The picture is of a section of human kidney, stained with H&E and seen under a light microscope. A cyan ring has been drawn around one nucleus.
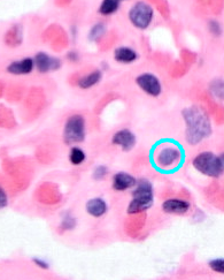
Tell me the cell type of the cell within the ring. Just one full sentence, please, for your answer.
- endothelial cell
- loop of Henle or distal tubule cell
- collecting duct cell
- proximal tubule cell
Microscopically, the cell within the ring is categorized as an endothelial cell.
